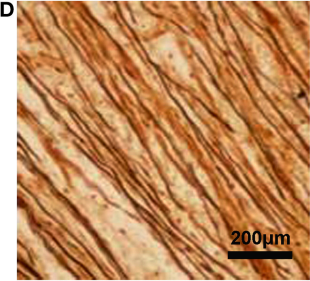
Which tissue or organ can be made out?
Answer: nerve fibers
